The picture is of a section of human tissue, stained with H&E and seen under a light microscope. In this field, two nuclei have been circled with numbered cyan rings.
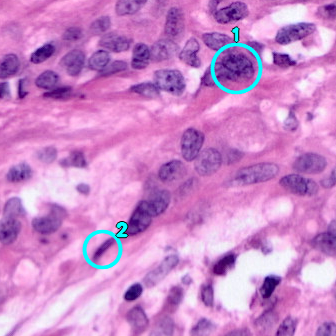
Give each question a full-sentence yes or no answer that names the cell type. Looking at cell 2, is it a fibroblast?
Yes, the cell with the mark numbered 2 is a fibroblast.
